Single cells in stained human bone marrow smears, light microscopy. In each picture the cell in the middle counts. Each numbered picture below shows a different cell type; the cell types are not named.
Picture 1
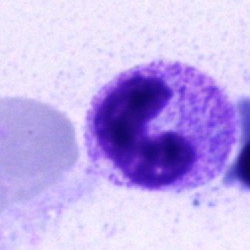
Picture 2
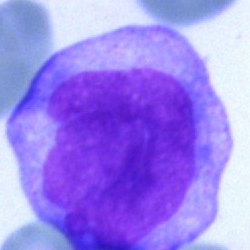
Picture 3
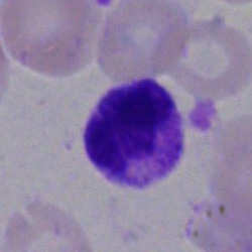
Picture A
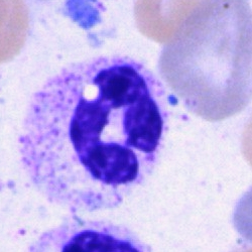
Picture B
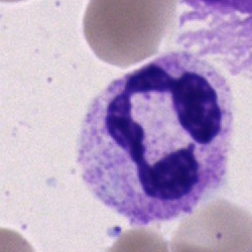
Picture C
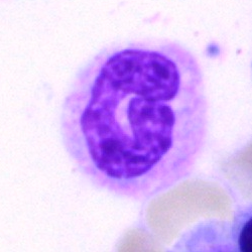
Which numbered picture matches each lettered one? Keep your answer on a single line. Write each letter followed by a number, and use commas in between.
A 3, B 3, C 3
